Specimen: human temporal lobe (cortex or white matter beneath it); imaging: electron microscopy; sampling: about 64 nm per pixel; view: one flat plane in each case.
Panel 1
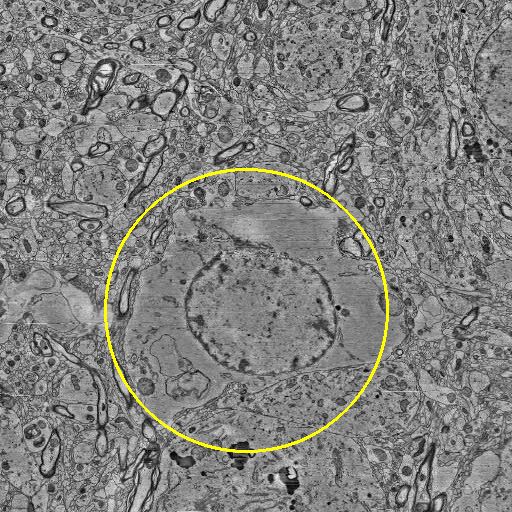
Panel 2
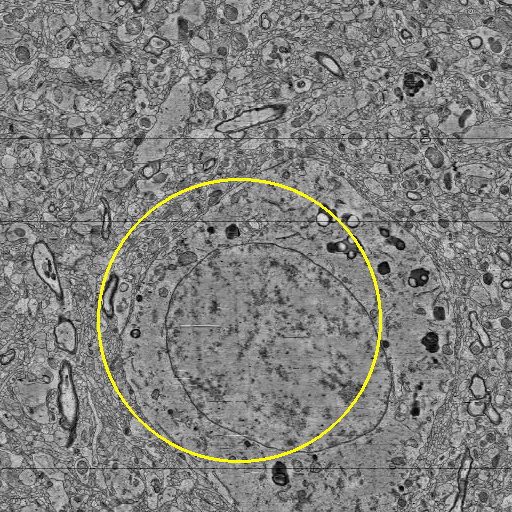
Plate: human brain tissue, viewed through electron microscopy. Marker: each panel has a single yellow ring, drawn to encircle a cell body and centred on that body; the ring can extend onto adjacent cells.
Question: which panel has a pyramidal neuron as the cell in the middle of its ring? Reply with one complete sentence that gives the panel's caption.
Panel 2 is where the requested cell sits at the centre of the ring.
